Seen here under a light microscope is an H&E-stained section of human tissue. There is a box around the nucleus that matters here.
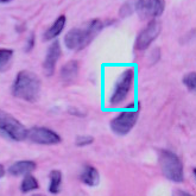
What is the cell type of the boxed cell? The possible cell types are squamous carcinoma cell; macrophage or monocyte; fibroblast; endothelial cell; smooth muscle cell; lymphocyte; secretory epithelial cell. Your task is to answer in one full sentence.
Considered by cell type, the boxed cell is an endothelial cell.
